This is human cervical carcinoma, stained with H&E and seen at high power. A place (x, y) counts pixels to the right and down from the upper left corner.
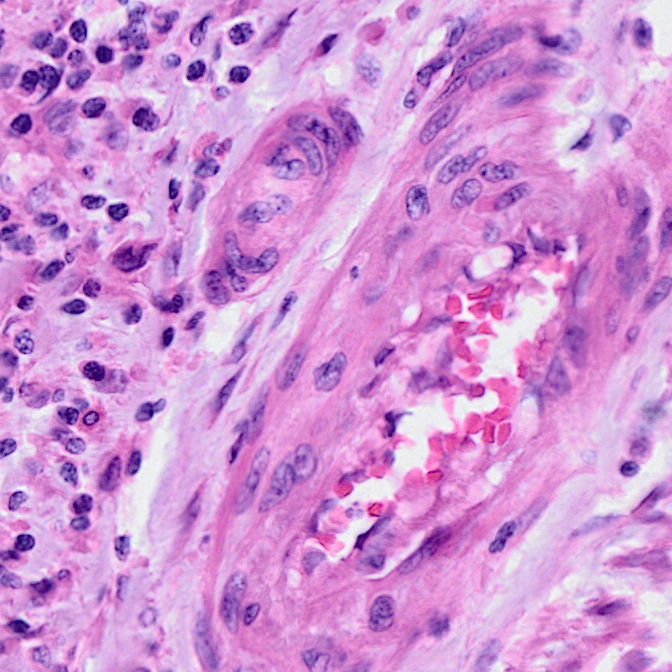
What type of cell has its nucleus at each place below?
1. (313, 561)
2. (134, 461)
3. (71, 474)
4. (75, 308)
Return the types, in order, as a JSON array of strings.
["endothelial cell", "lymphocyte", "lymphocyte", "lymphocyte"]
